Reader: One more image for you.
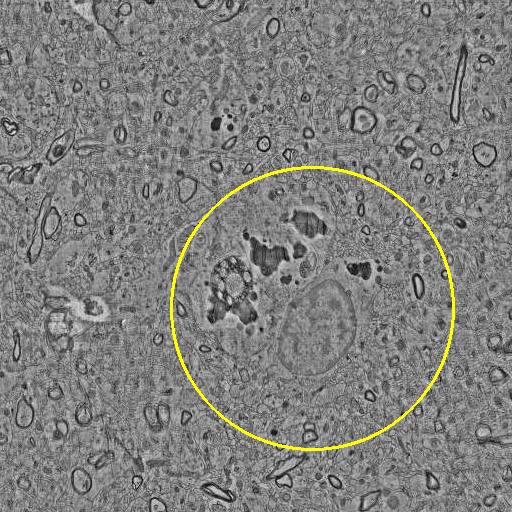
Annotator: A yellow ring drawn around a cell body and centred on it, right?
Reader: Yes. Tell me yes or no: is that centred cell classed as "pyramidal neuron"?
no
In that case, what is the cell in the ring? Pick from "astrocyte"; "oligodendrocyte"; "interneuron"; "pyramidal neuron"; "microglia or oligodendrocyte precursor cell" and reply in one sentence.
The cell marked by the ring is an oligodendrocyte.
